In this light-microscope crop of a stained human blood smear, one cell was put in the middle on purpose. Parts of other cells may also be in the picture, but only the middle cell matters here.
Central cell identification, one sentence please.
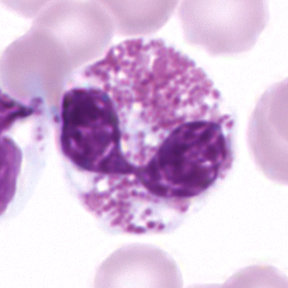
The cell marked by its central position in the crop is an eosinophil.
